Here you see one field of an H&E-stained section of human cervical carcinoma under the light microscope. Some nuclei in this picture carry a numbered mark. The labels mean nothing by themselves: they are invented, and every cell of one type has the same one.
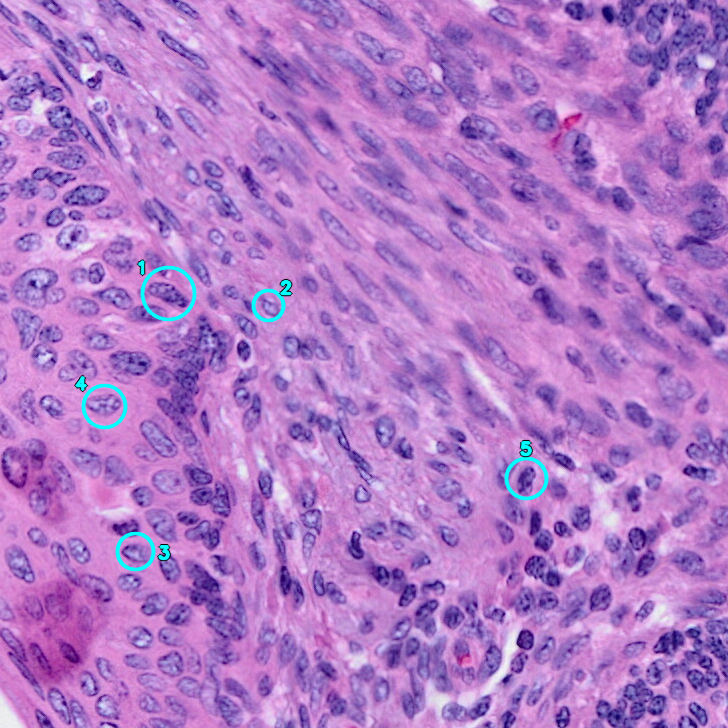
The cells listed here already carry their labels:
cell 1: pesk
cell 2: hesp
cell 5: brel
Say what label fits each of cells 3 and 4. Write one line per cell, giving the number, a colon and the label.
3: pesk
4: pesk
